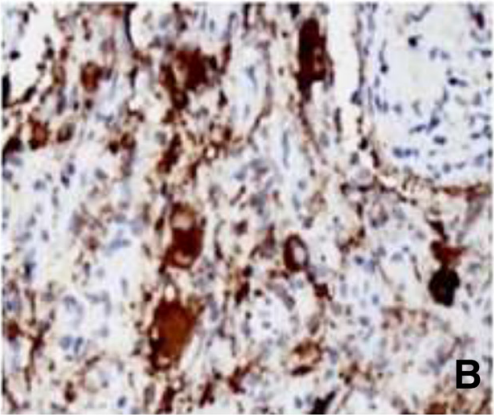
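Tumour tissue in which scattered large ganglion cells are strongly stained brown throughout their cell bodies. Finer brown granular staining runs along processes in the background. Many small cells with blue nuclei remain unstained between them.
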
